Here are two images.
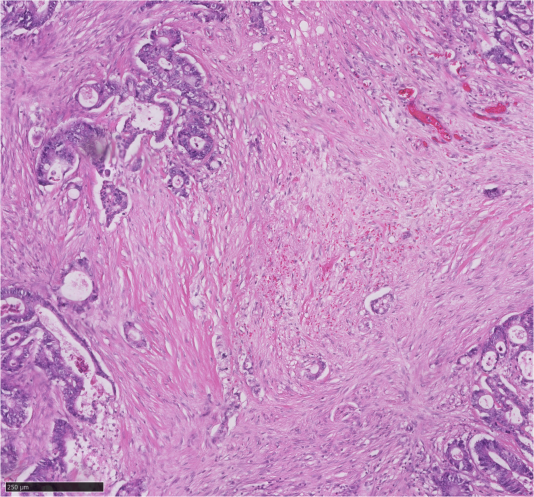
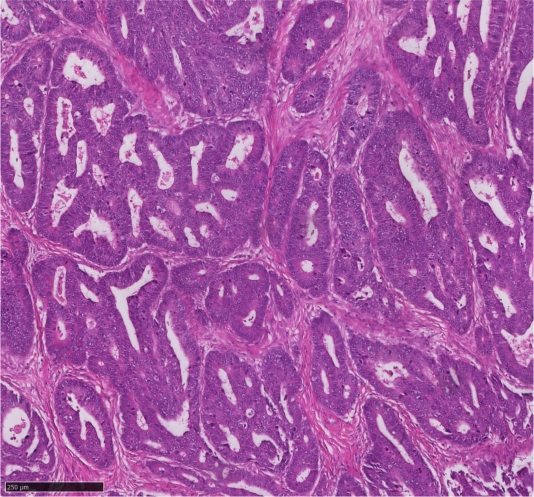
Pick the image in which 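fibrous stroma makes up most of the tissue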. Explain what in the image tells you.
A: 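Second image: tumour glands packed closely with only thin strands of pink stroma between them. First image: broad areas of pink fibrous stroma with only scattered small tumour glands. So: the first image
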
